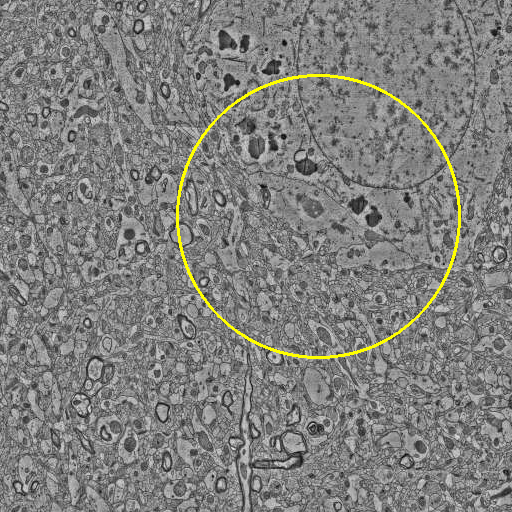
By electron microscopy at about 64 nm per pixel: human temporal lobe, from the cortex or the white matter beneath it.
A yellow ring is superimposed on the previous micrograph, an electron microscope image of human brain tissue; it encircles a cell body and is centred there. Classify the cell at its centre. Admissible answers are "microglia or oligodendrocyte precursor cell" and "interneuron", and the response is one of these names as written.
microglia or oligodendrocyte precursor cell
